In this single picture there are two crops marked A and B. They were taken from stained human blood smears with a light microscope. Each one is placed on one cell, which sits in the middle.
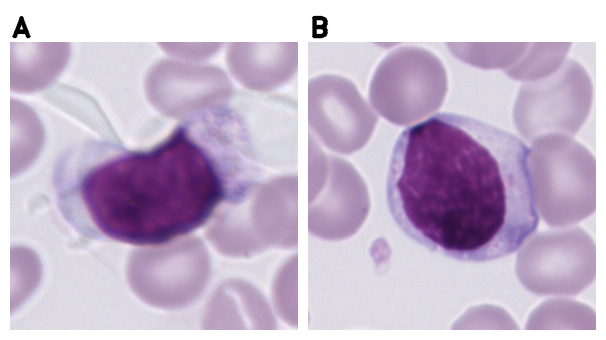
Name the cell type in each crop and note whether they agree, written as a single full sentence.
Yes, large granular lymphocytes are the central cells in the two crops.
